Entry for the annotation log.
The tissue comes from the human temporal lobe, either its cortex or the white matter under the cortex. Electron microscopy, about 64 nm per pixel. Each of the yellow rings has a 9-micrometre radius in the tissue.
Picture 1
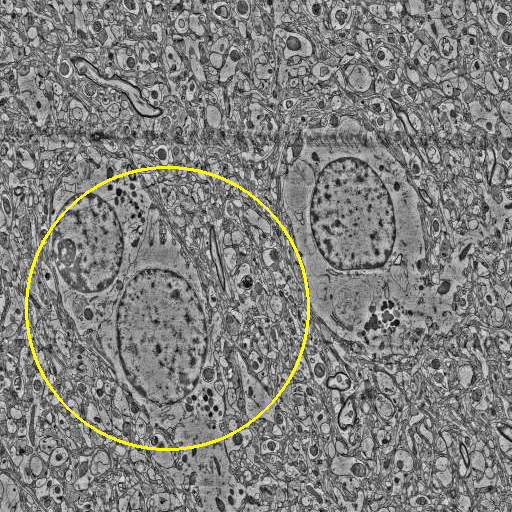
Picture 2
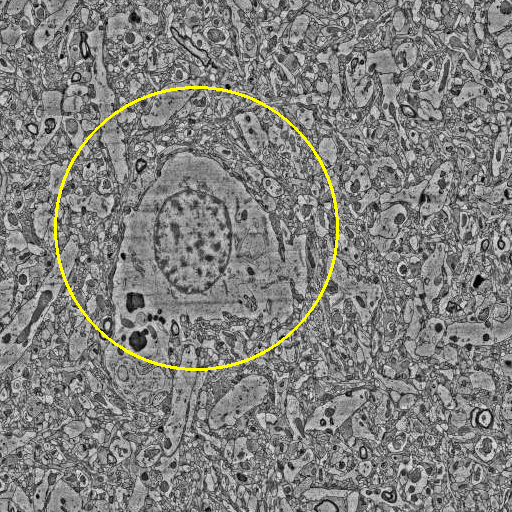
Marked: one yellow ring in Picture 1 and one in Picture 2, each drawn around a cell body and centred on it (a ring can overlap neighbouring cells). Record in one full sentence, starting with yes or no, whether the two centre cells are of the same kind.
Yes, both cells are of the same kind.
